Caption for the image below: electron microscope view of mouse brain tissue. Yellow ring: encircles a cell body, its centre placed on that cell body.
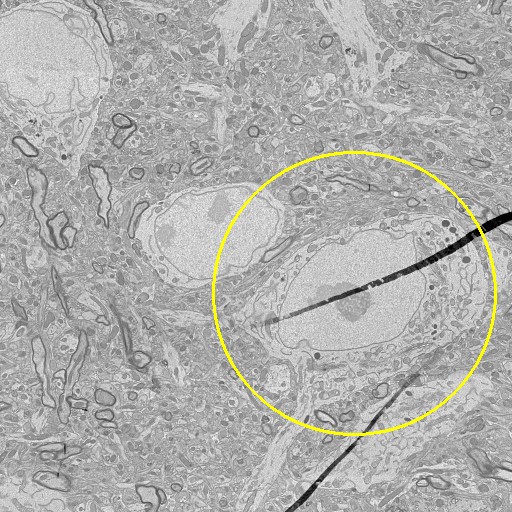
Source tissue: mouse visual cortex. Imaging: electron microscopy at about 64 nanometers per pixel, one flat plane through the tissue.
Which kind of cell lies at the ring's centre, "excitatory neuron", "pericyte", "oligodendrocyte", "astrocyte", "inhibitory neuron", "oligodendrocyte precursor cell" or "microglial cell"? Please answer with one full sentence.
The picture shows an inhibitory neuron at the centre of the yellow ring.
